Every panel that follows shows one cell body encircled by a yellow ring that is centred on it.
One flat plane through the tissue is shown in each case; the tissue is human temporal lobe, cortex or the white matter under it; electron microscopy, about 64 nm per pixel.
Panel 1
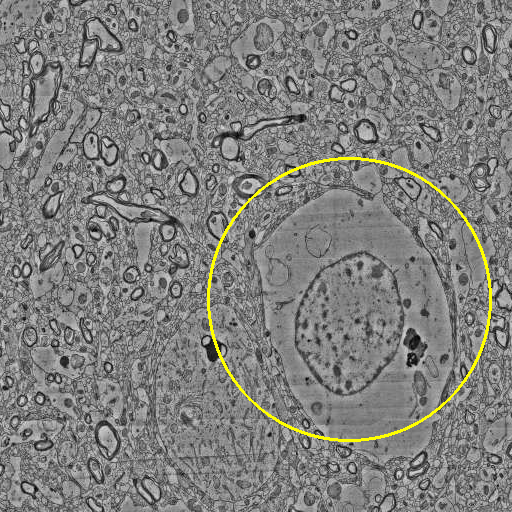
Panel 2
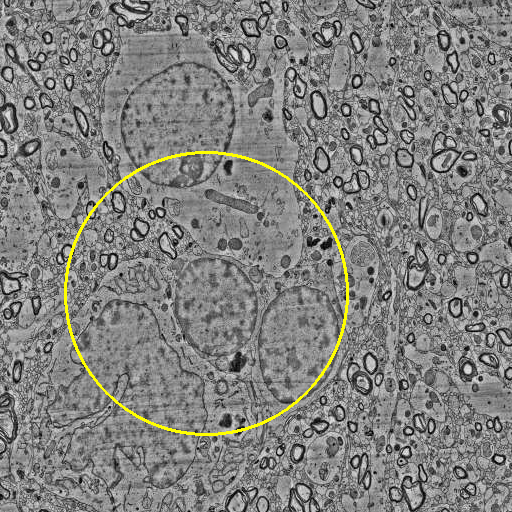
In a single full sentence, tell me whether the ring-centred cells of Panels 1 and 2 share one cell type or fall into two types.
In Panel 1 and Panel 2, the cells at the ring centres fall into two types.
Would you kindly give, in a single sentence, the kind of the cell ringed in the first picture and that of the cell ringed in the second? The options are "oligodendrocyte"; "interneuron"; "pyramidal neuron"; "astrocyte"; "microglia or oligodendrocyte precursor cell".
The second cell is an oligodendrocyte, and the first cell is an astrocyte.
